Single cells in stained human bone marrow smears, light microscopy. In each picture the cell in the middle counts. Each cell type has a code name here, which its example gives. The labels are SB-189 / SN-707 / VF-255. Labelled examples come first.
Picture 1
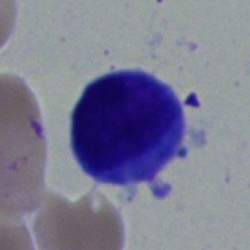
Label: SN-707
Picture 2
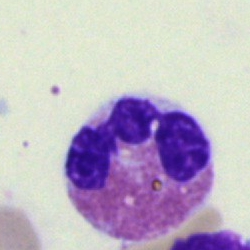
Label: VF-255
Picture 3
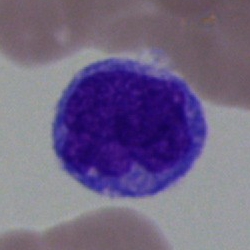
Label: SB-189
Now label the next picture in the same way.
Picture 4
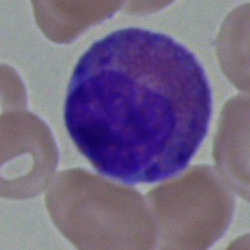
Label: VF-255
